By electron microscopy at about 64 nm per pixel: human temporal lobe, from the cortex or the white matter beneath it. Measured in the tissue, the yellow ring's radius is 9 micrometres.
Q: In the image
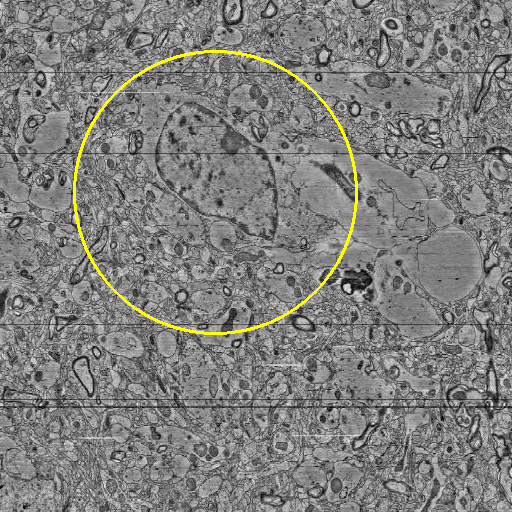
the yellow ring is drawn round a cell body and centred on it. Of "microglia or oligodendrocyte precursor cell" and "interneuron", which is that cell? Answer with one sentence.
The cell centred in the ring is a microglial cell or oligodendrocyte precursor cell.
